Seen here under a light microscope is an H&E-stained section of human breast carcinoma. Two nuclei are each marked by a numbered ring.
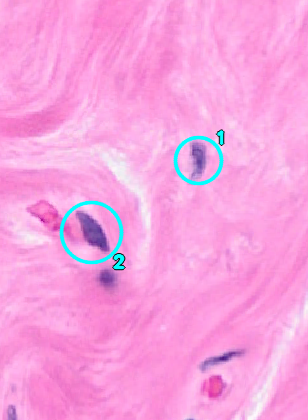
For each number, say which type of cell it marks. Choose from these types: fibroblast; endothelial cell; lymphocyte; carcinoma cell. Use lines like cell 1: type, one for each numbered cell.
cell 1: fibroblast
cell 2: endothelial cell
